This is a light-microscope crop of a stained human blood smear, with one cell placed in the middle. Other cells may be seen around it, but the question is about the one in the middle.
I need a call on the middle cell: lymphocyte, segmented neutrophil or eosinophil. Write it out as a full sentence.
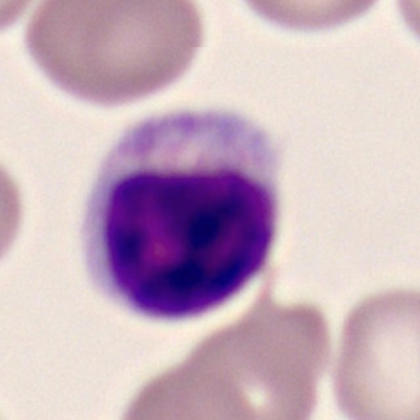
The central cell, amid any neighbouring cells, is a lymphocyte.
